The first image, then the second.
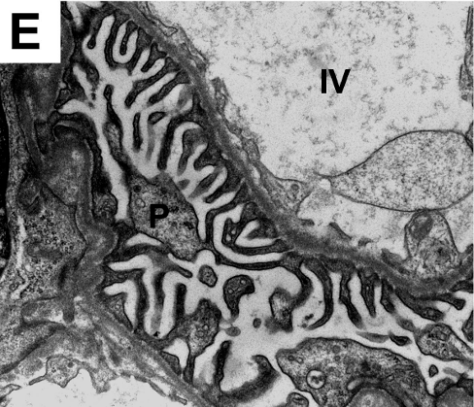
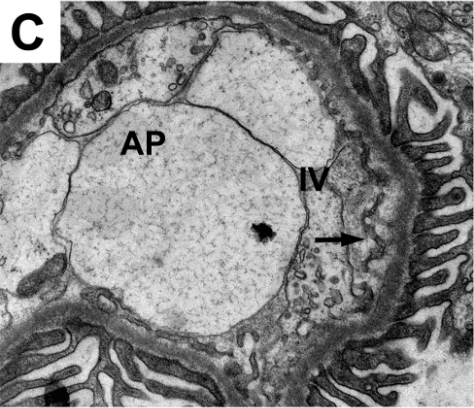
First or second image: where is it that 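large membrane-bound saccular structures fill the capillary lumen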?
the second image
